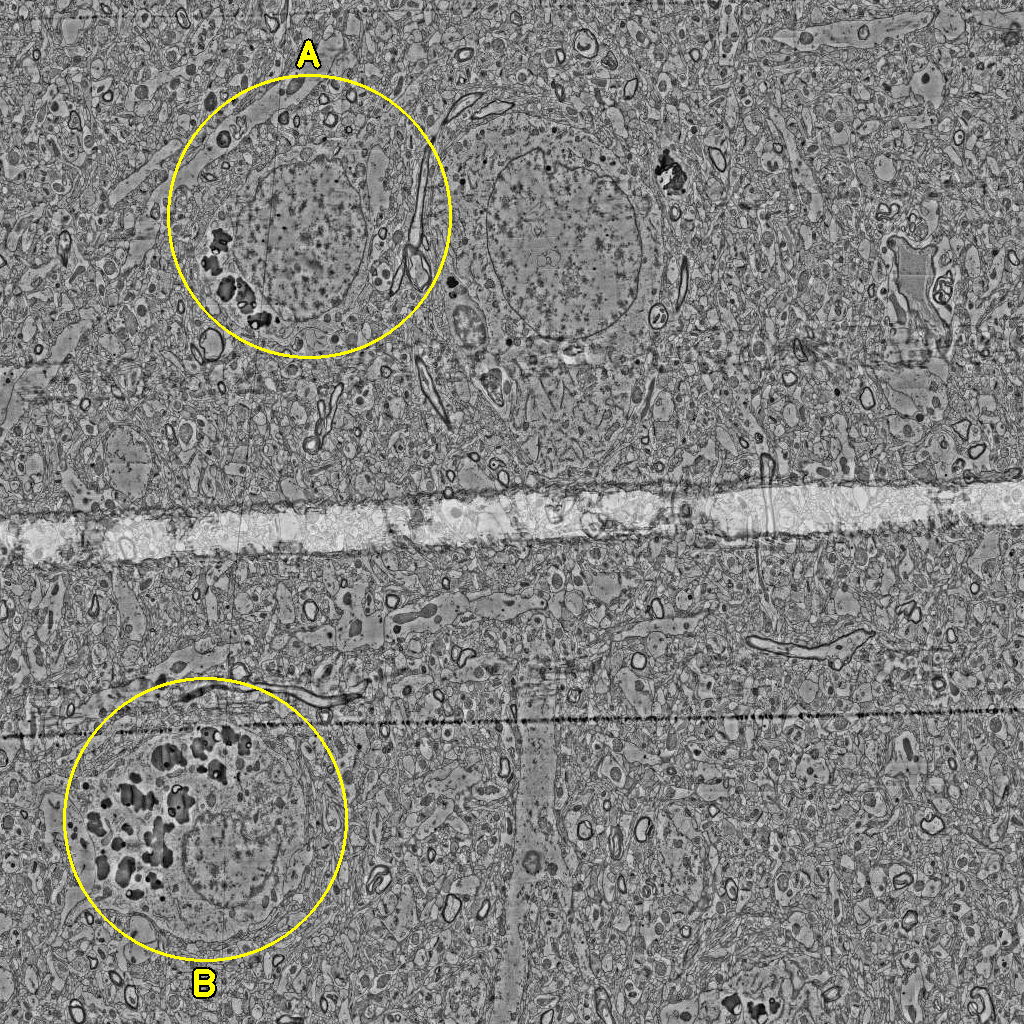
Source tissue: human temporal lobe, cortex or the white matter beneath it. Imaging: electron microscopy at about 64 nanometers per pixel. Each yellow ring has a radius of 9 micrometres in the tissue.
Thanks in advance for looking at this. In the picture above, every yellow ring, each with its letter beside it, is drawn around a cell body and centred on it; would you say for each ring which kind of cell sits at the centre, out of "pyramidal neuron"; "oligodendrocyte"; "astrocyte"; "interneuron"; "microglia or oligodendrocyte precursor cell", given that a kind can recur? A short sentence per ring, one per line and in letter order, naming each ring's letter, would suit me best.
The cell body in ring A belongs to an interneuron.
The cell body in ring B belongs to an interneuron.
